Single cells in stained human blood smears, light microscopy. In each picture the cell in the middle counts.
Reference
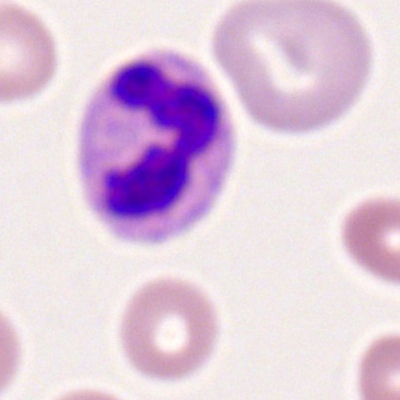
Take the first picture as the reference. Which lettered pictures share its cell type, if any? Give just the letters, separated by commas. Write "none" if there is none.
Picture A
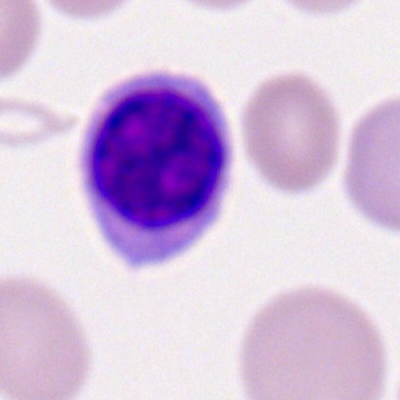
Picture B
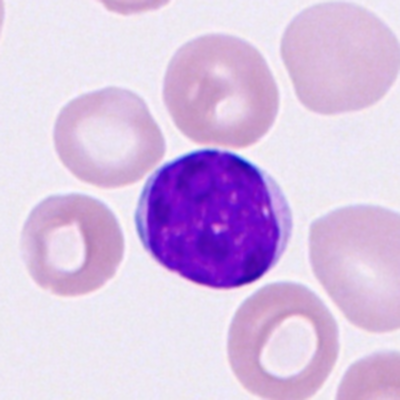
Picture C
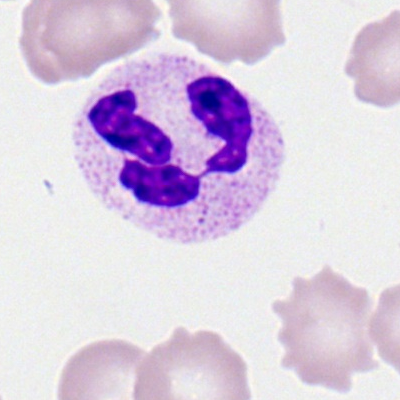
C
